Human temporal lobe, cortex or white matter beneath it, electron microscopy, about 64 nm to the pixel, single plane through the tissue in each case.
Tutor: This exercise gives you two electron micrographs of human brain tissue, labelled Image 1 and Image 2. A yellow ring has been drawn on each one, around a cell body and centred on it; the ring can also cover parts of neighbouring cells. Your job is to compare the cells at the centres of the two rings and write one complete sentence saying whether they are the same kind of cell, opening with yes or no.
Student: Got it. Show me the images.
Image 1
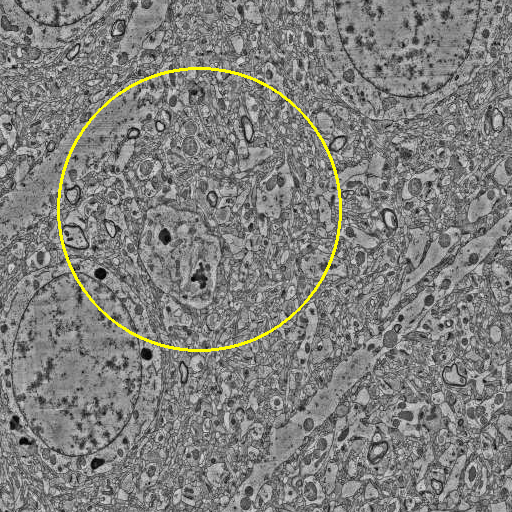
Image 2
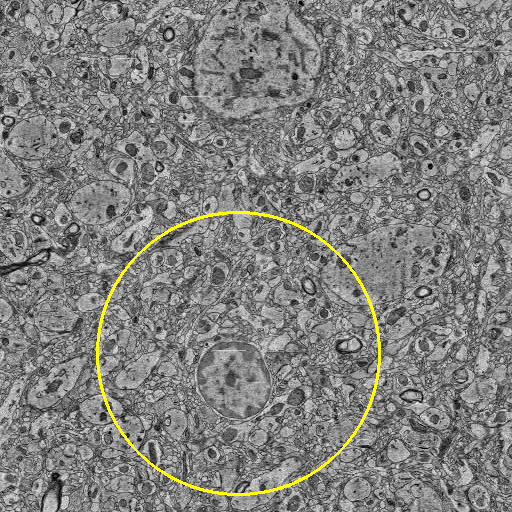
No, the two cells belong to two kinds.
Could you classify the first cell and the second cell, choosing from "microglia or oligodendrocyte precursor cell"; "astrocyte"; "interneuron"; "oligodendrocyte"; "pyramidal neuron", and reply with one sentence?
The second cell is a microglial cell or oligodendrocyte precursor cell, while the first is an interneuron.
